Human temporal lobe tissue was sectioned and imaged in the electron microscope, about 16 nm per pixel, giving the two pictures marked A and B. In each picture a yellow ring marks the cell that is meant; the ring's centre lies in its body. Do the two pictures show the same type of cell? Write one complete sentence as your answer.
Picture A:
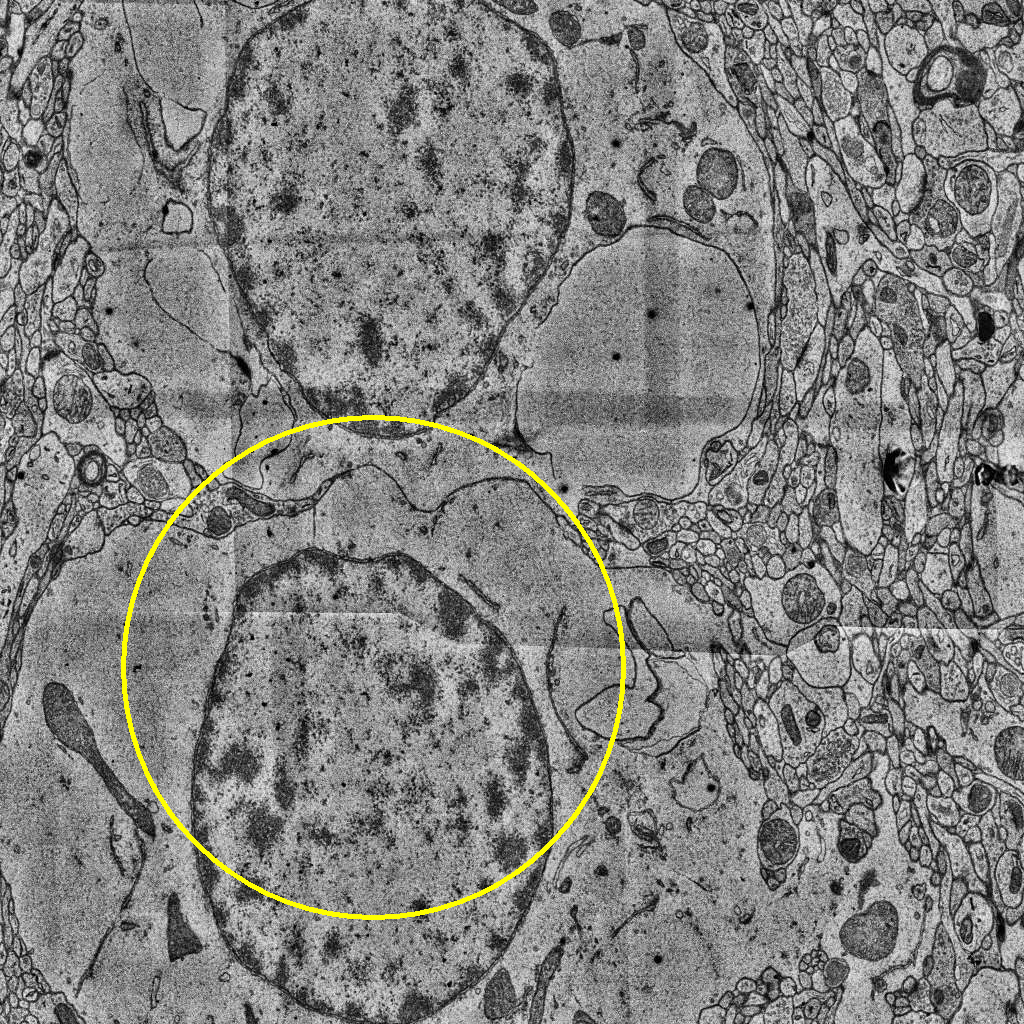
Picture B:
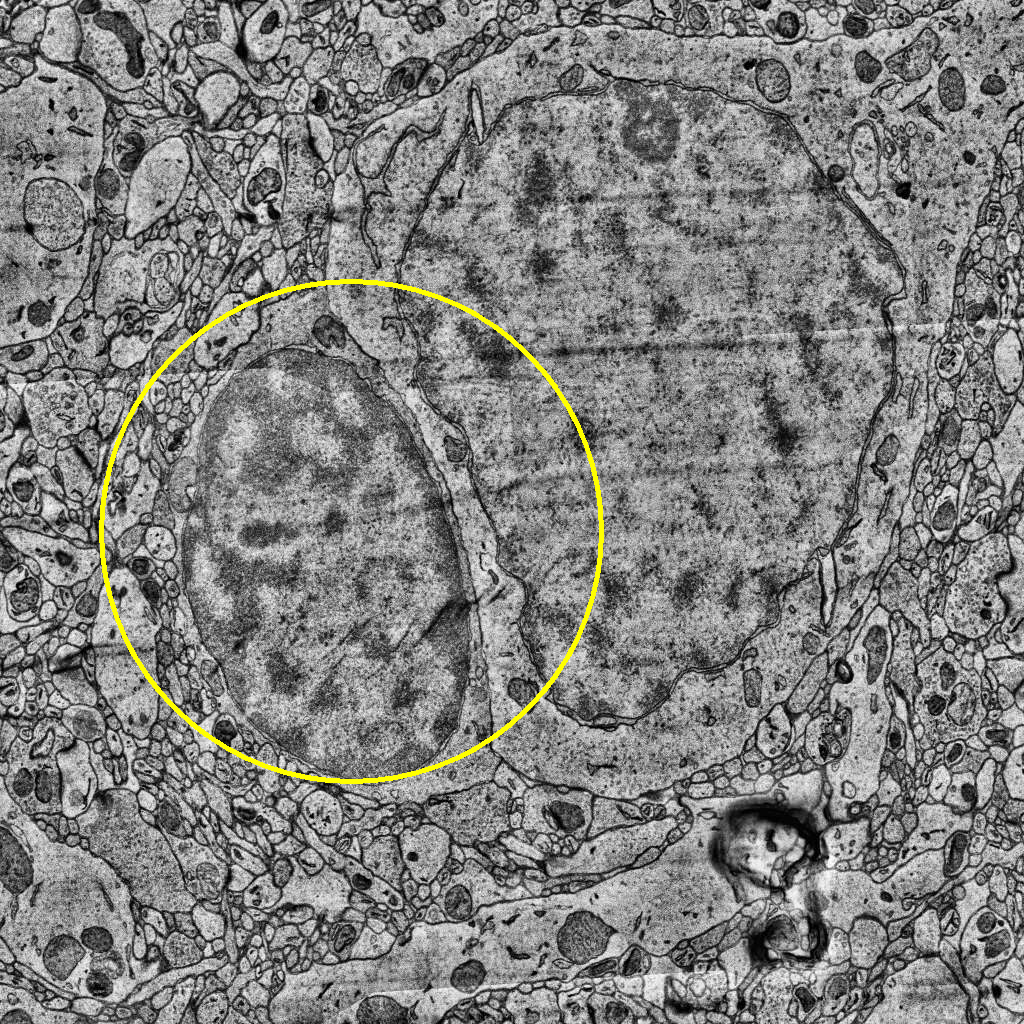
No, the types are not the same, since picture A shows an astrocyte and picture B an oligodendrocyte.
